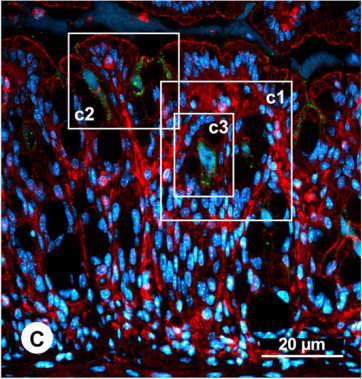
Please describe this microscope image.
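Intestinal crypts are seen in section, but their architecture is disturbed. Instead of regular tubes with a narrow central lumen, the crypts are distorted, with irregular, widened spaces and cells of uneven, rounded shapes outlined by a dense red network. Blue nuclei are crowded and unevenly arranged rather than forming an orderly row. Inside some crypt spaces lie green granular and dotted material and a diffuse, paler blue mass that is not a well-formed nucleus. The surface epithelium is still visible at the top, and densely packed nuclei lie at the base of the mucosa.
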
